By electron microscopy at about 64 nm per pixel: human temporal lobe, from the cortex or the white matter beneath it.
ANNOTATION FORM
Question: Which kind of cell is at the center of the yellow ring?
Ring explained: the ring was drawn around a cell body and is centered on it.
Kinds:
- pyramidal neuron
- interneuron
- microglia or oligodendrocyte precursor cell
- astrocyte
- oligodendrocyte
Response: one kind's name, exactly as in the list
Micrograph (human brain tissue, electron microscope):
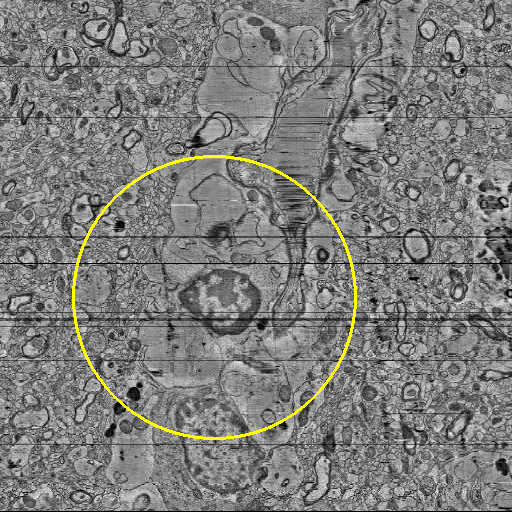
microglia or oligodendrocyte precursor cell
